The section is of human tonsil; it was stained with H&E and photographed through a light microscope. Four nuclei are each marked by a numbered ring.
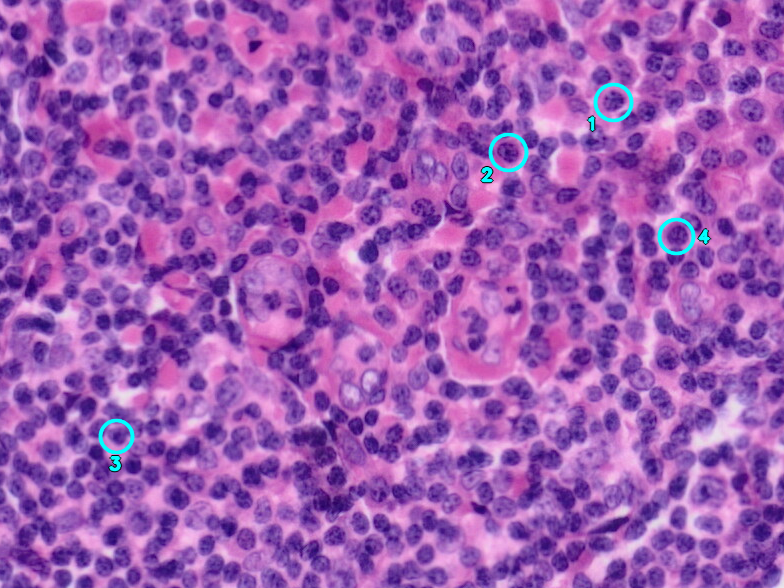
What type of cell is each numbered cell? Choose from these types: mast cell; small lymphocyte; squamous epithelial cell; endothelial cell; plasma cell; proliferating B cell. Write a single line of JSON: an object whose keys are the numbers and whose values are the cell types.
{"1": "plasma cell", "2": "plasma cell", "3": "small lymphocyte", "4": "plasma cell"}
